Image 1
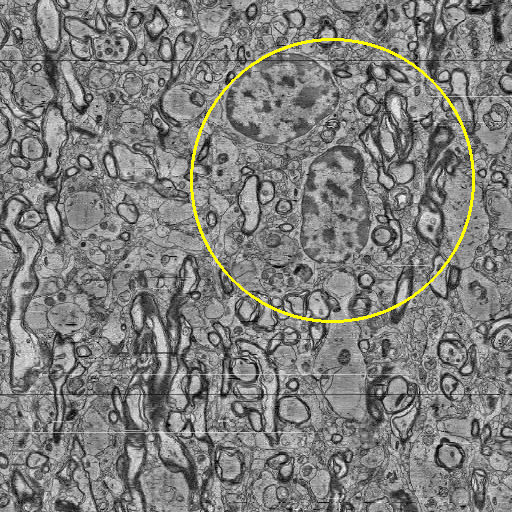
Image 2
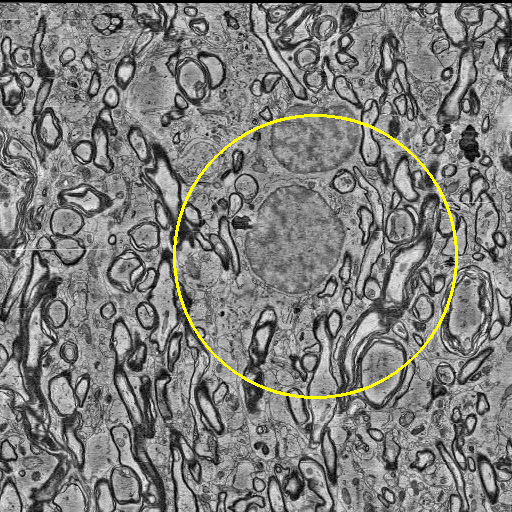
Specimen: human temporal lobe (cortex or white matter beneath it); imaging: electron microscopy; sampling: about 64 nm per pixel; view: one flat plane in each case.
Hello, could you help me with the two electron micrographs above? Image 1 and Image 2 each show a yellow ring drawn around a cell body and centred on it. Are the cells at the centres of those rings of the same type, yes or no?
no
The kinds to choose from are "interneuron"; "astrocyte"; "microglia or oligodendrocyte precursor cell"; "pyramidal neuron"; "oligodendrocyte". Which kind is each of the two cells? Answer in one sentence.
Of the two, the first cell is a microglial cell or oligodendrocyte precursor cell and the second cell is an oligodendrocyte.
